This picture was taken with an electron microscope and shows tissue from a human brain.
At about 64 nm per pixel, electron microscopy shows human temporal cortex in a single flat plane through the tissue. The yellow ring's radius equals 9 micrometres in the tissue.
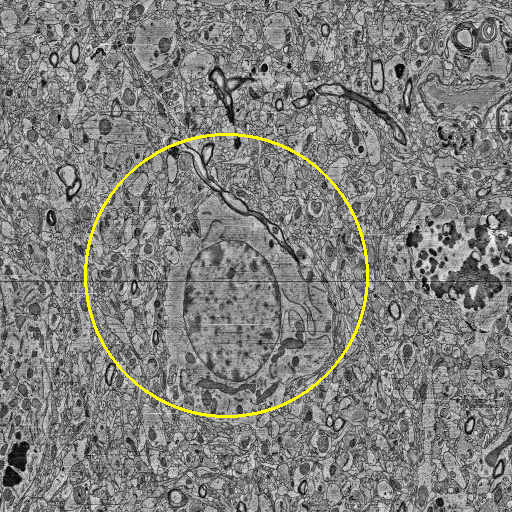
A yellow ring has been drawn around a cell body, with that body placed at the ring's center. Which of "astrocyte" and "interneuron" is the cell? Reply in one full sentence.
In this picture, an astrocyte is the cell at the center of the yellow ring.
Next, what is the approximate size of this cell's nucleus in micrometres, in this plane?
About 10 by 6 micrometres in this plane; clearly longer than it is wide.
